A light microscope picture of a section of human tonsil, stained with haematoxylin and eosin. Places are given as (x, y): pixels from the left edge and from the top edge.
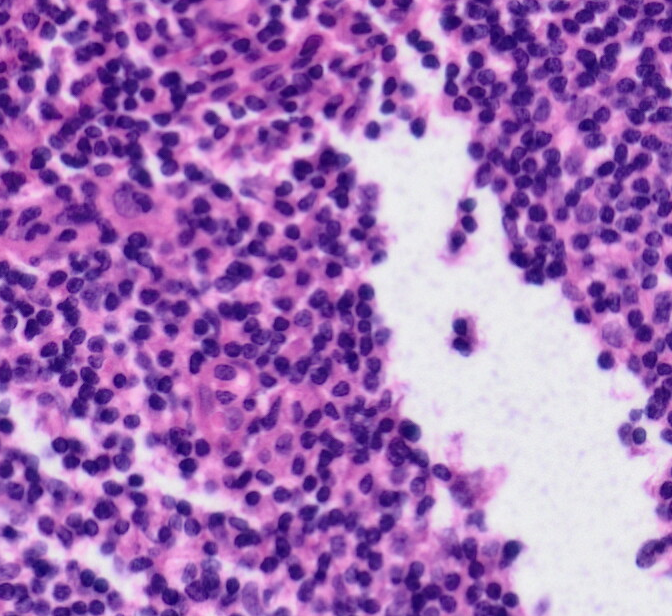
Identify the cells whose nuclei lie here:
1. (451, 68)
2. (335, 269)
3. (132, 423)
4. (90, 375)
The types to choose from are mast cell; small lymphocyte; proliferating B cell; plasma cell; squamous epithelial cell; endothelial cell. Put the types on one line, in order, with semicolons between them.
small lymphocyte; plasma cell; small lymphocyte; small lymphocyte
